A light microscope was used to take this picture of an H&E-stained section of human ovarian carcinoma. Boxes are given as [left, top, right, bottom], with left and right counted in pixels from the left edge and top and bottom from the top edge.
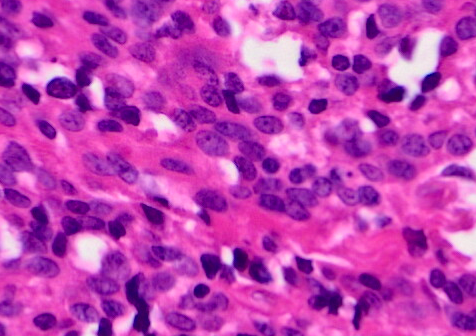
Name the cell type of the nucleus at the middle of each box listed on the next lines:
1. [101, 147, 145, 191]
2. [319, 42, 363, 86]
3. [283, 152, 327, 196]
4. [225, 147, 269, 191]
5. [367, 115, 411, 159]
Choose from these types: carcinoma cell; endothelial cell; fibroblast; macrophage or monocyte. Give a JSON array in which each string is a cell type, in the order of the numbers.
["endothelial cell", "macrophage or monocyte", "macrophage or monocyte", "carcinoma cell", "carcinoma cell"]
